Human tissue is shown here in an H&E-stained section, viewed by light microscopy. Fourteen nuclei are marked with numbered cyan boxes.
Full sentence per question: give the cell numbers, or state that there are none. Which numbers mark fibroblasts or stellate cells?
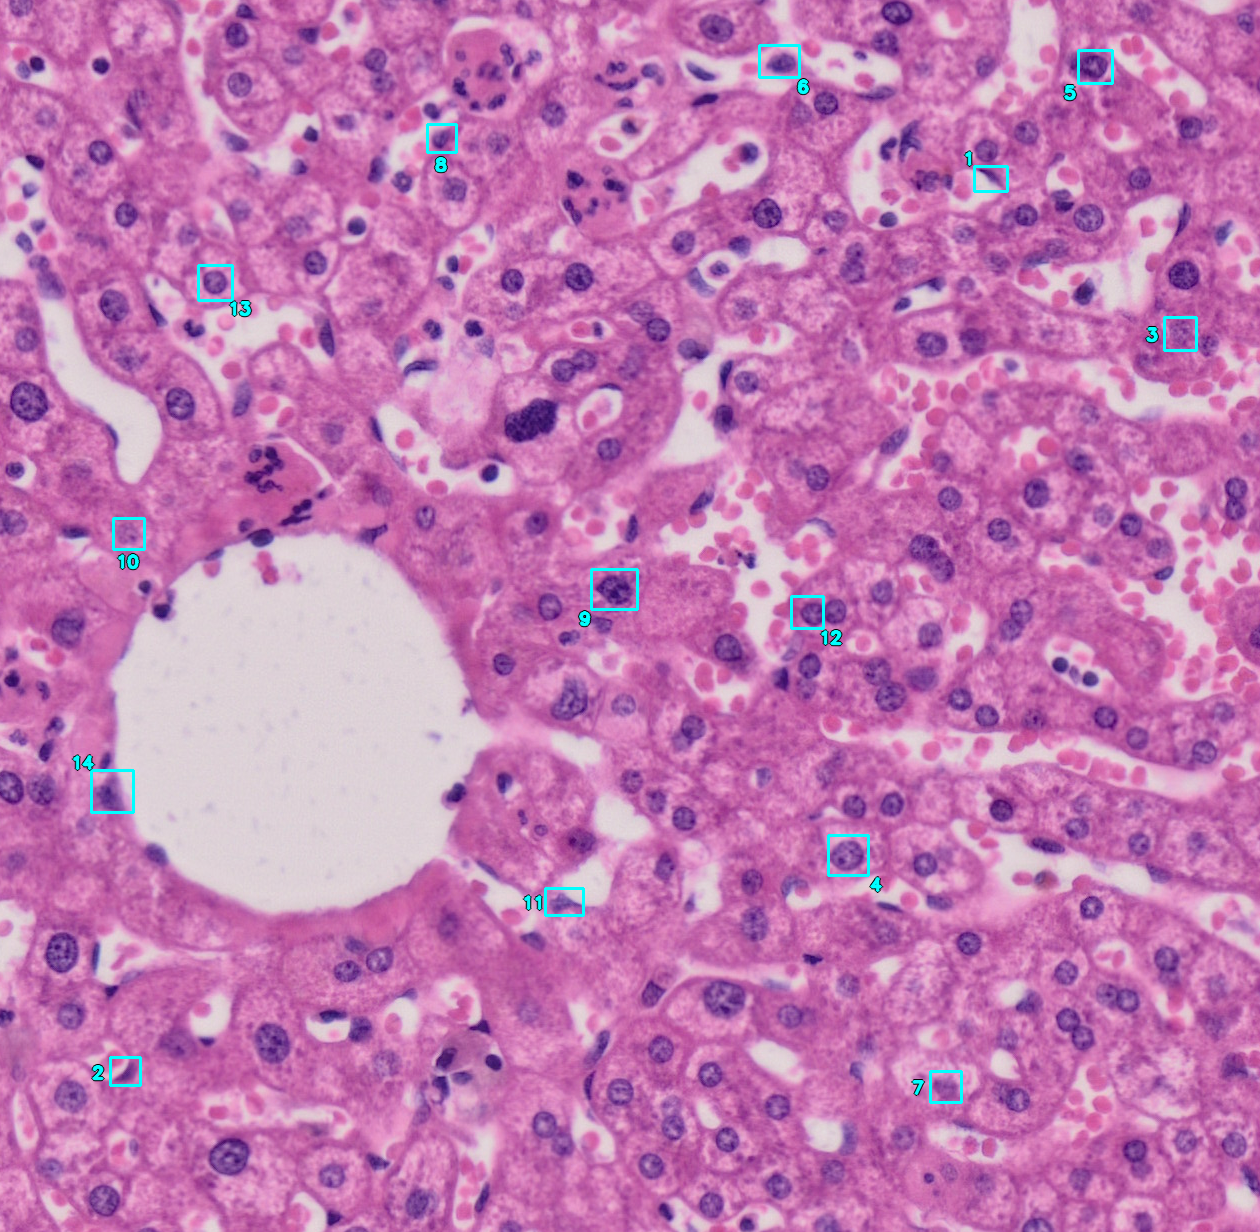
The cells shown with numbers 11 and 14 are fibroblasts or stellate cells.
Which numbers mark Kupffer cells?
By cell type, the cells numbered 6 and 8 are Kupffer cells.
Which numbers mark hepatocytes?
The cells that have been numbered 3, 4, 5, 7, 9, 10, 12 and 13 are hepatocytes.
